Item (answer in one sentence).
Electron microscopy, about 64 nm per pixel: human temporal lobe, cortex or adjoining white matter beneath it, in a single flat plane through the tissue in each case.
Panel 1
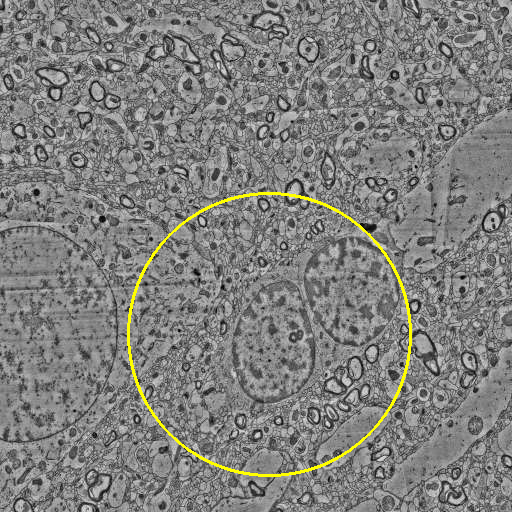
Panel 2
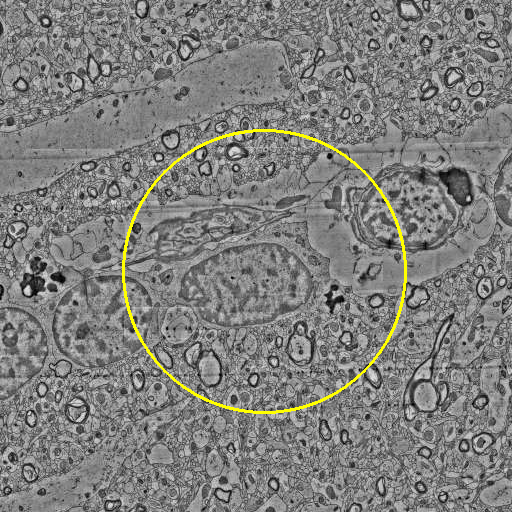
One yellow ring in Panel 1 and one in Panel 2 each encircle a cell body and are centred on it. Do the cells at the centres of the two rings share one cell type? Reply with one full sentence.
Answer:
Yes, Panel 1 and Panel 2 show cells of one type at the centres of their rings.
